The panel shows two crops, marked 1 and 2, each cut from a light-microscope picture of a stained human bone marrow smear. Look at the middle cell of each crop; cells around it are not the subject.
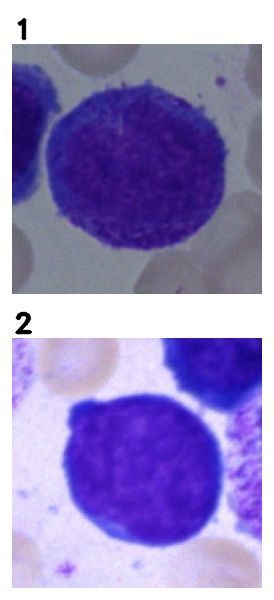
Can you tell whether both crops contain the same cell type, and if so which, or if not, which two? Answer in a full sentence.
No, crop 2 shows a proerythroblast, and crop 1 shows a promyelocyte.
